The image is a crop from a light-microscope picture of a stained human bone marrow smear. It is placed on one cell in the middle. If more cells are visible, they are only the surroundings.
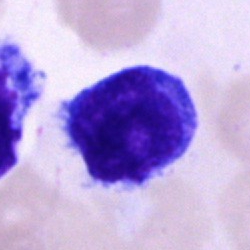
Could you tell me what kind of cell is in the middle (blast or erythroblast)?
blast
